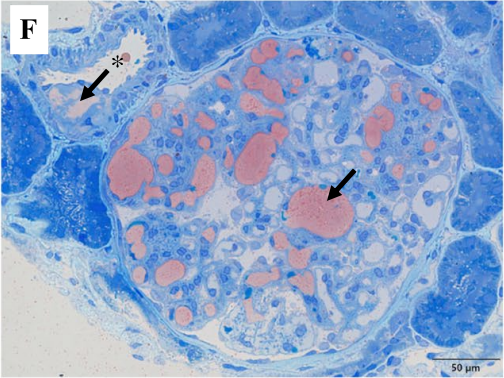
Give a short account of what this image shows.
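This is a glomerulus in a thin blue-stained section, its capillary lumens containing many pink-orange droplets. The droplets vary from small spheres to large rounded masses that fill whole capillary loops. The cells of the tuft stain light blue with darker nuclei between the droplets. The glomerulus is surrounded by a thin capsule and by tubules whose epithelium stains deep blue. A small vessel at the upper left also contains a pink droplet in its wall.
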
